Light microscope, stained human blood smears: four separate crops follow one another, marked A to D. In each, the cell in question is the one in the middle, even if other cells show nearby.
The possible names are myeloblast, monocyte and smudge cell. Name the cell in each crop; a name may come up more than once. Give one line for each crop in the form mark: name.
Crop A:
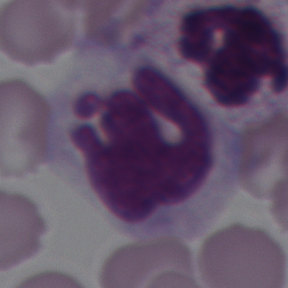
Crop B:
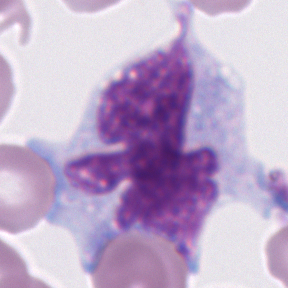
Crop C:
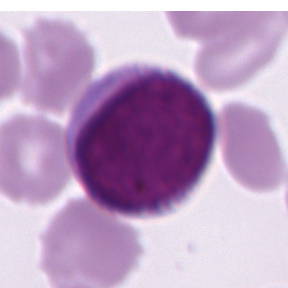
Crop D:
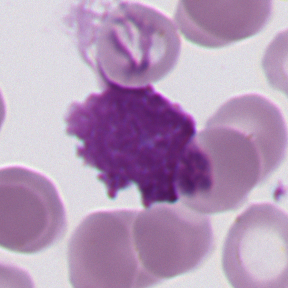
A: monocyte
B: monocyte
C: myeloblast
D: smudge cell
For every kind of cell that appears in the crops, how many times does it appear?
monocyte: 2
myeloblast: 1
smudge cell: 1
